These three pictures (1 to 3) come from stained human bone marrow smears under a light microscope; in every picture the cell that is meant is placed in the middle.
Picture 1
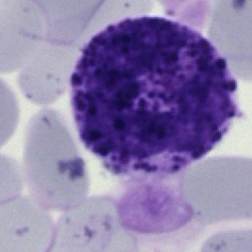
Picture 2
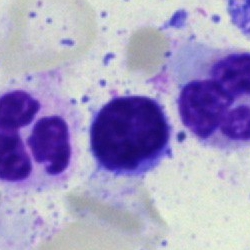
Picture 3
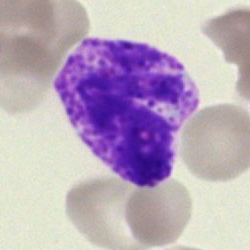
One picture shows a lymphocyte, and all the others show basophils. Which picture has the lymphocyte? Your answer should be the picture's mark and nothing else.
2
